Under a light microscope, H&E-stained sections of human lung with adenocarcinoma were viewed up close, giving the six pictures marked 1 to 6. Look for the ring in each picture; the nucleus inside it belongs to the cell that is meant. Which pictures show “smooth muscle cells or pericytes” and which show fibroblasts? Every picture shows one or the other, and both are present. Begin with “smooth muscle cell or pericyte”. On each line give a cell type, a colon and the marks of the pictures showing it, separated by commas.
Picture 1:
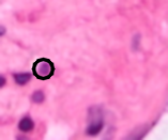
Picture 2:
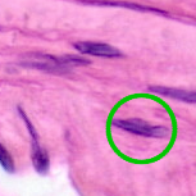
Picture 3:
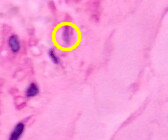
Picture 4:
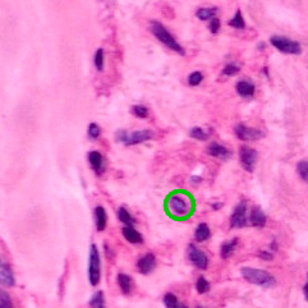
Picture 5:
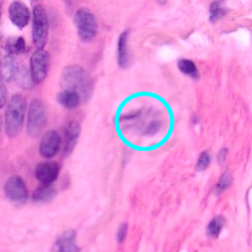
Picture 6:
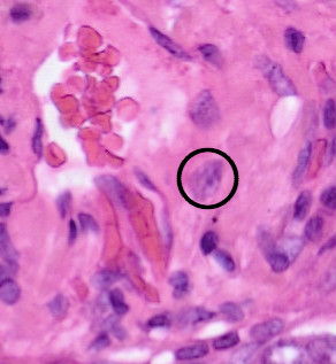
smooth muscle cell or pericyte: 1, 2, 3, 4
fibroblast: 5, 6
